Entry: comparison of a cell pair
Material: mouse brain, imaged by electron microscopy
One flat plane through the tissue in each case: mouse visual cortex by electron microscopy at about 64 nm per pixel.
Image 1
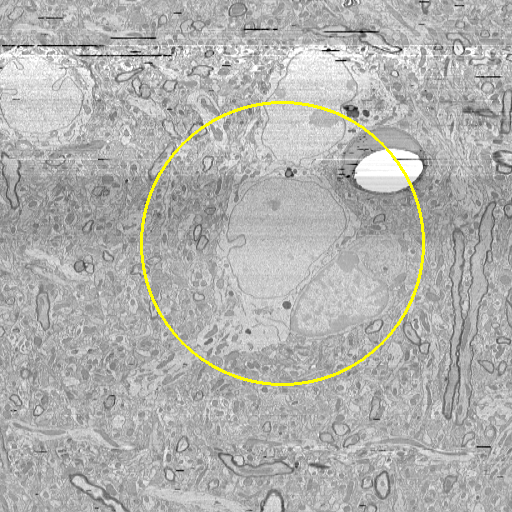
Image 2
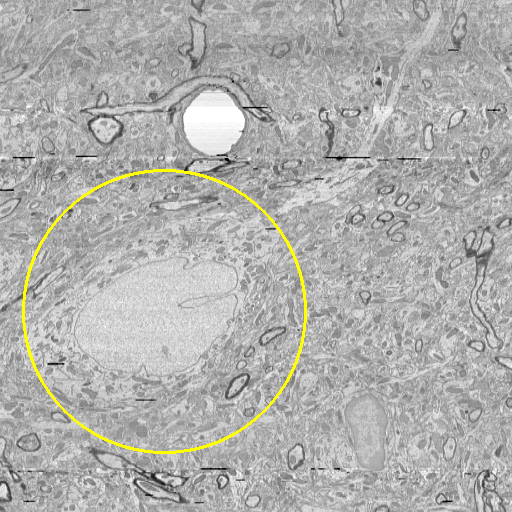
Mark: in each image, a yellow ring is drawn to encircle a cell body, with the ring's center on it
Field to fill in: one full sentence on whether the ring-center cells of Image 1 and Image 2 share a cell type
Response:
Yes, Image 1 and Image 2 each show a ring-center cell of one shared type.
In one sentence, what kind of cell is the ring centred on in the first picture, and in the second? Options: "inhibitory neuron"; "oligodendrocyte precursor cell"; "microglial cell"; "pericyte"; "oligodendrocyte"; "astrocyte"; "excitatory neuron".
Both rings mark an excitatory neuron, one in each picture.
